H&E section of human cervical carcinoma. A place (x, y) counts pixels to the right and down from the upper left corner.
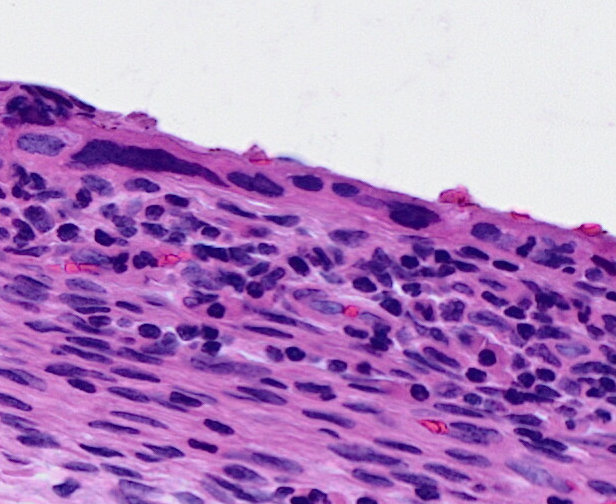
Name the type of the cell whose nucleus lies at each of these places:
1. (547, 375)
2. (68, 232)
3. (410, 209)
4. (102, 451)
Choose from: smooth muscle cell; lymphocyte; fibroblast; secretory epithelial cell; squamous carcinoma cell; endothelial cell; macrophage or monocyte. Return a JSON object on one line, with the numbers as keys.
{"1": "lymphocyte", "2": "lymphocyte", "3": "secretory epithelial cell", "4": "fibroblast"}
